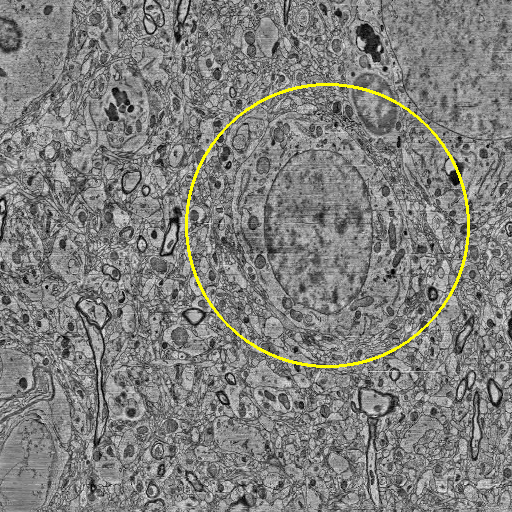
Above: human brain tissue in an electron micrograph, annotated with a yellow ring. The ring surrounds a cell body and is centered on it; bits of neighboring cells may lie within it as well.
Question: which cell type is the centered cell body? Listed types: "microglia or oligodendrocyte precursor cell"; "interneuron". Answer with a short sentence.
The centered cell body is an interneuron.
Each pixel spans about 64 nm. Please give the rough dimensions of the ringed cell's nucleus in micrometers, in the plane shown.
In this plane, approximately 11 by 7 micrometers, and clearly longer than it is wide.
